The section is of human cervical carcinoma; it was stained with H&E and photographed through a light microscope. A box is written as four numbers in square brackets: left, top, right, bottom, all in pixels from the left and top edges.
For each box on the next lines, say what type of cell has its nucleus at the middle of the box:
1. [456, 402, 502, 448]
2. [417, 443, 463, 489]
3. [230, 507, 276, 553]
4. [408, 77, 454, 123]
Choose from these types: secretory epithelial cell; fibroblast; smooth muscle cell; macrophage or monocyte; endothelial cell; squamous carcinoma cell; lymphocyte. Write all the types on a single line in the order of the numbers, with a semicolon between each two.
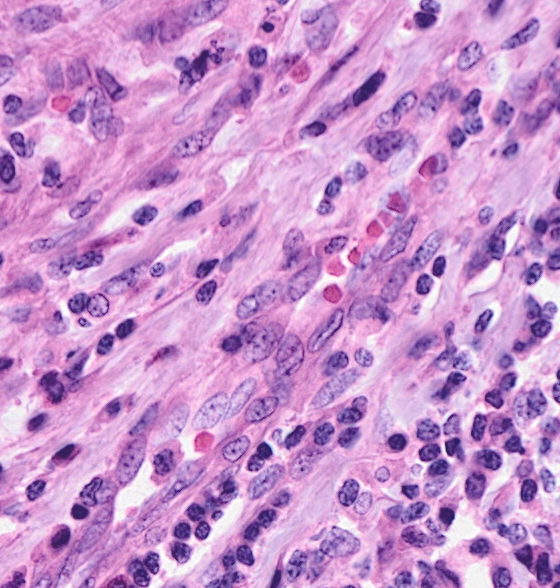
lymphocyte; lymphocyte; lymphocyte; endothelial cell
